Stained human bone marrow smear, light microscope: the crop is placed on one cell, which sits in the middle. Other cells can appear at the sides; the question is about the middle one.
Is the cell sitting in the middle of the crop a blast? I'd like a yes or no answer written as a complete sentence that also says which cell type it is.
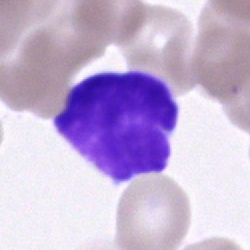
No, not a blast: the cell in the middle of this crop is a lymphocyte.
